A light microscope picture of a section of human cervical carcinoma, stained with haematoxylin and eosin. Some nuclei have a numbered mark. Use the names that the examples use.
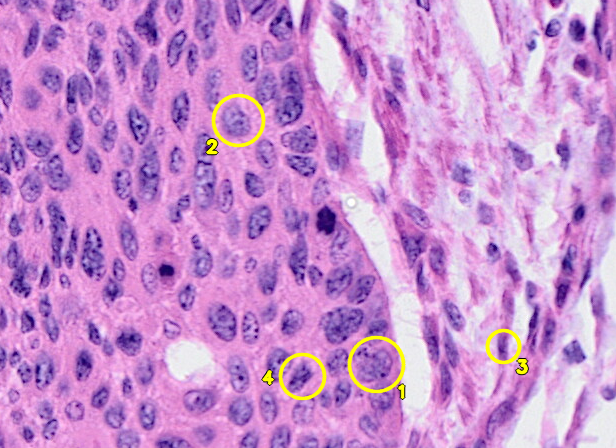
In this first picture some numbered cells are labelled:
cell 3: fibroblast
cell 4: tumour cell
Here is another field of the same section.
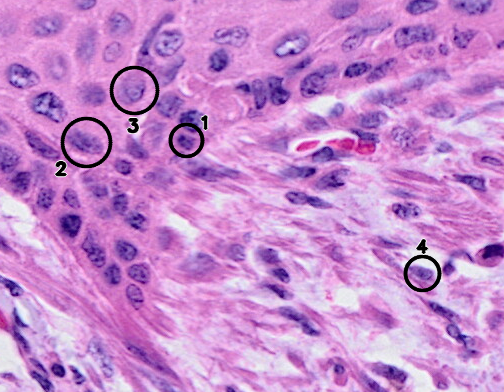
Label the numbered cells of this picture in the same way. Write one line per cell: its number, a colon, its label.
1: tumour cell
2: tumour cell
3: tumour cell
4: fibroblast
